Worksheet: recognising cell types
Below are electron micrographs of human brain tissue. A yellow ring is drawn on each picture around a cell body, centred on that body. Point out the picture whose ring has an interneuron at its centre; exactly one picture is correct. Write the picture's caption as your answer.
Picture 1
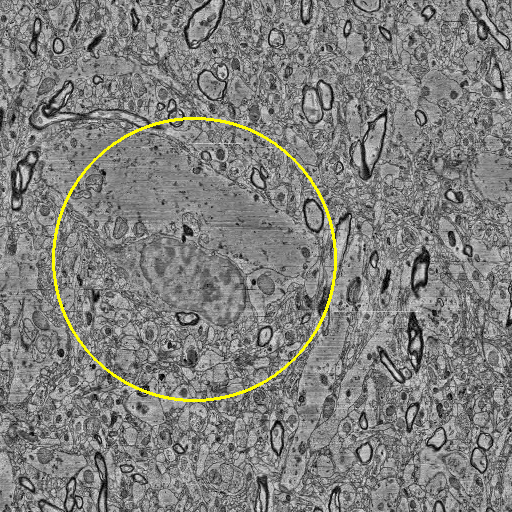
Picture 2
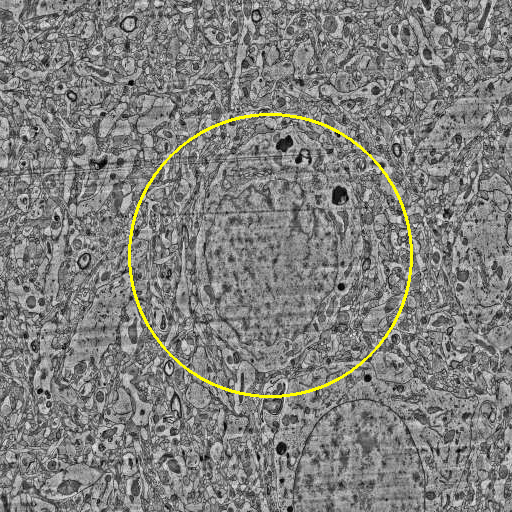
Picture 2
